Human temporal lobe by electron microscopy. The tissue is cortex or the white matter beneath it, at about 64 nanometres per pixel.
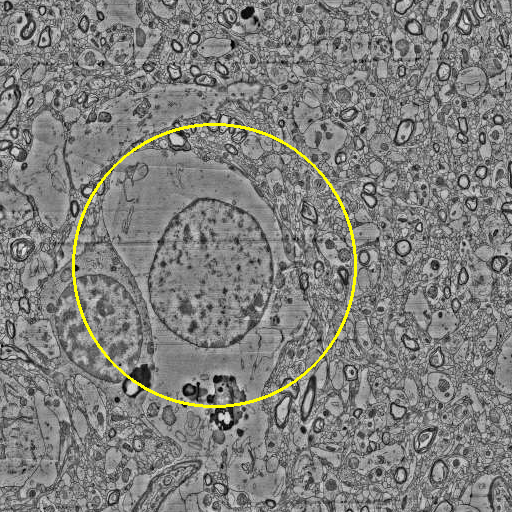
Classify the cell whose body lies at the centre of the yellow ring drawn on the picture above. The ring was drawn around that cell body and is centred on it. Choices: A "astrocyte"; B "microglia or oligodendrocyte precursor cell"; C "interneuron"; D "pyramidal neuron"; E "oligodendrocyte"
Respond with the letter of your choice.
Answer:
A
